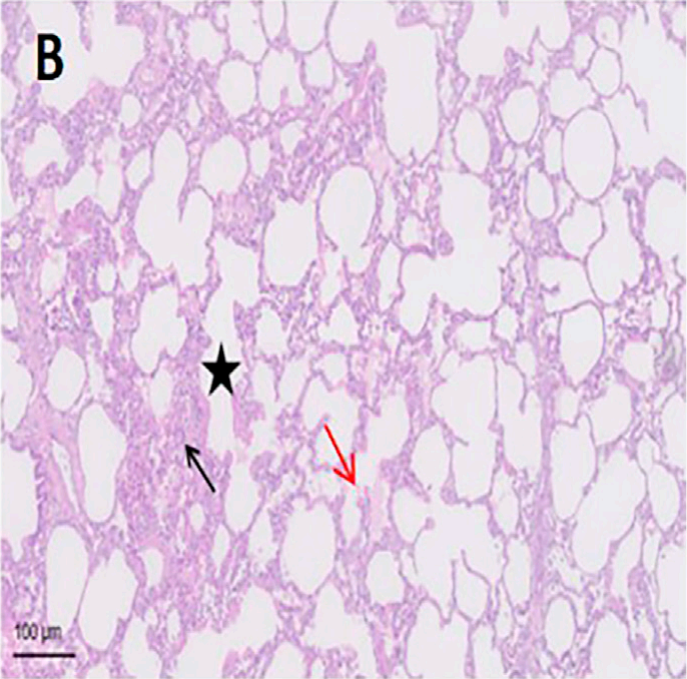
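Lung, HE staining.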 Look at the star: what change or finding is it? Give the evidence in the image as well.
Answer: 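The walls between airspaces near the star are broad and densely purple compared with thin septa elsewhere. The airspaces in this region are small and compressed.
Thickened alveolar wall.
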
